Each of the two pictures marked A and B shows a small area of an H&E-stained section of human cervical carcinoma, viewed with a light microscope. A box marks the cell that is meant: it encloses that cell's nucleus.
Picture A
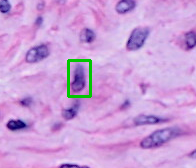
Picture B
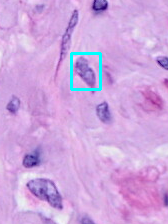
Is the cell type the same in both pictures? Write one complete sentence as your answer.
No, the types are not the same, since picture A shows a smooth muscle cell and picture B a fibroblast.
